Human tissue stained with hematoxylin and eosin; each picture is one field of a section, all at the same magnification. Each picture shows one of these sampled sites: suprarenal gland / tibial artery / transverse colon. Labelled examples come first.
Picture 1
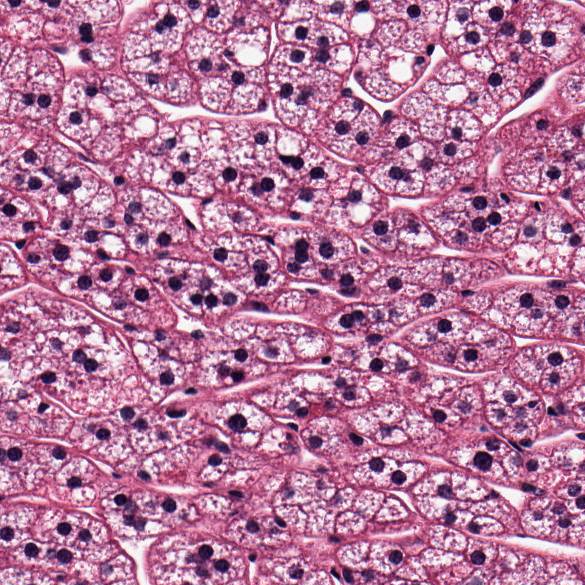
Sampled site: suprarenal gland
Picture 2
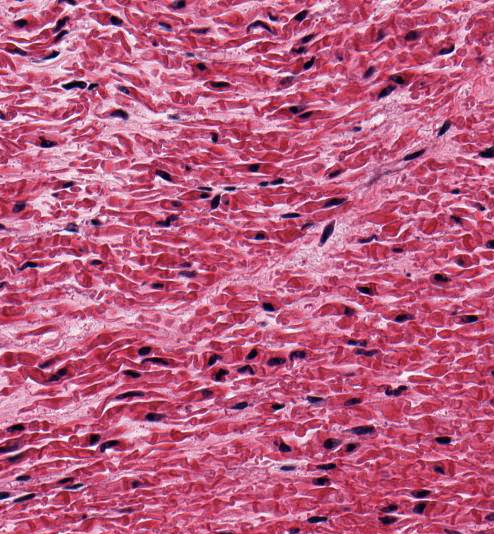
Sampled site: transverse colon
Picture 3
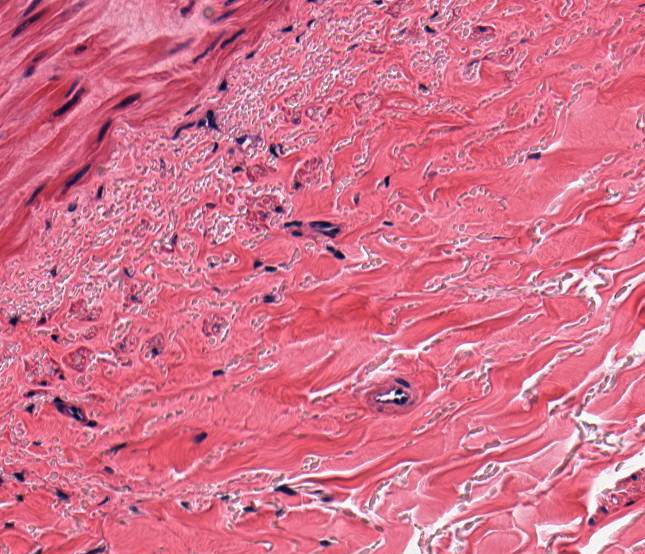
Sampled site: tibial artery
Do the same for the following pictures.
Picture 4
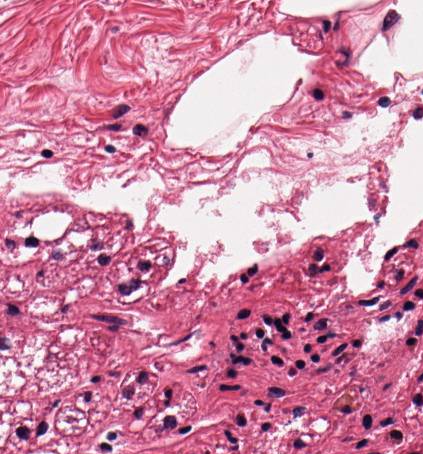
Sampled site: suprarenal gland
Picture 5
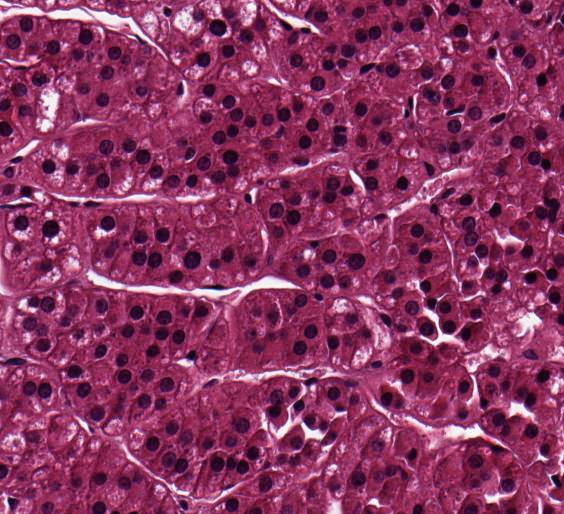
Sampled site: suprarenal gland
